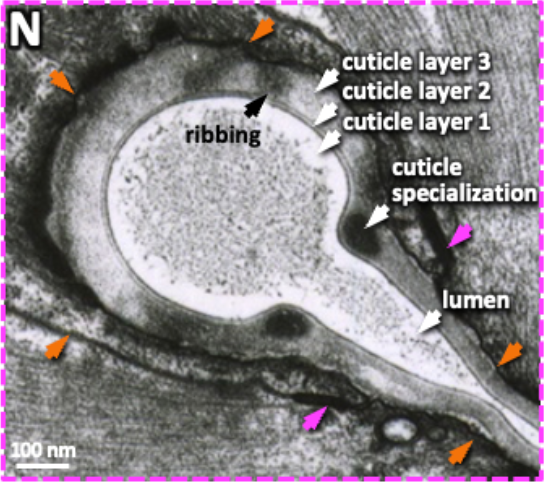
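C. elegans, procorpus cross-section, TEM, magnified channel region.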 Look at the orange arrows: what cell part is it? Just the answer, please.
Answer: Plasma membrane interface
